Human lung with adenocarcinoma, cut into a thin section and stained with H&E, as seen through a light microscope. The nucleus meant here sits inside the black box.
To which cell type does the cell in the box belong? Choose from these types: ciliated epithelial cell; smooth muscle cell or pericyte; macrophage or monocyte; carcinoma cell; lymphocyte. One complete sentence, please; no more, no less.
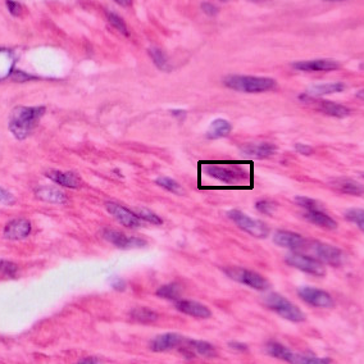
It is a smooth muscle cell or pericyte that the cell in the box represents.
